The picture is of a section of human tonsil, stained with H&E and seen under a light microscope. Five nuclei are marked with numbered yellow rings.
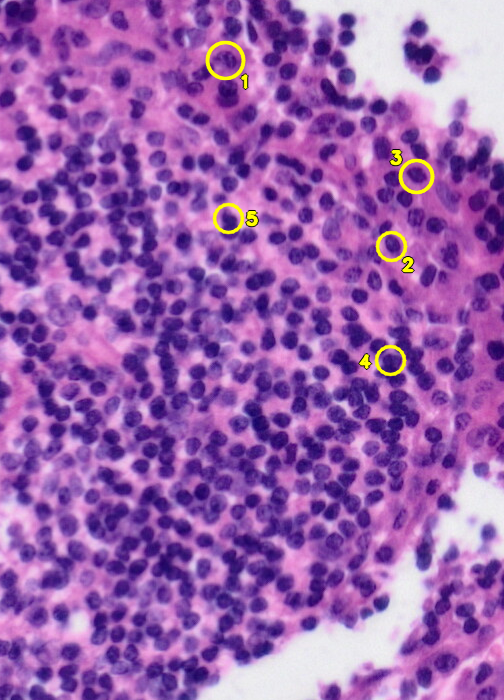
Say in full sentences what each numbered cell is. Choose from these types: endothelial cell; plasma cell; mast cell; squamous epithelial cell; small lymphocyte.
Cells 1, 2 and 3 are plasma cells. Cells 4 and 5 are small lymphocytes.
